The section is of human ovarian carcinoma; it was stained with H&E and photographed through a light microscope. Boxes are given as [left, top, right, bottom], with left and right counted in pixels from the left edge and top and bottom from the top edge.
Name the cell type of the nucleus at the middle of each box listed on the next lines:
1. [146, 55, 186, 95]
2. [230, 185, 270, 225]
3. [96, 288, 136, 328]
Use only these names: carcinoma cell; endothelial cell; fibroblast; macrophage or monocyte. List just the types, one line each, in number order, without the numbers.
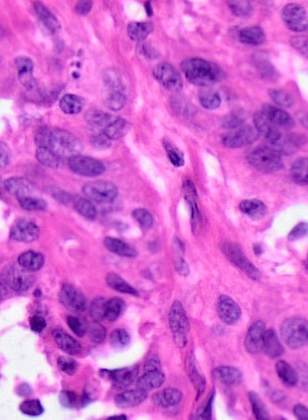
carcinoma cell
macrophage or monocyte
carcinoma cell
